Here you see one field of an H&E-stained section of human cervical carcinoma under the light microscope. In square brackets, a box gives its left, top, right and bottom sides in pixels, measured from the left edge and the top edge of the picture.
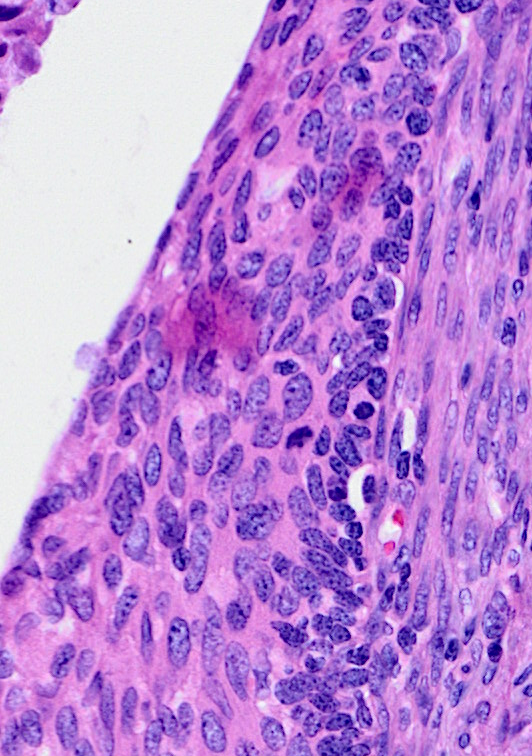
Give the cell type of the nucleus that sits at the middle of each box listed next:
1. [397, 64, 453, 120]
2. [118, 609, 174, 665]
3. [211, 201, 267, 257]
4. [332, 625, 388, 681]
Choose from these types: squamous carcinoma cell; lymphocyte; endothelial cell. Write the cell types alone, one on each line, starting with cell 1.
squamous carcinoma cell
squamous carcinoma cell
squamous carcinoma cell
lymphocyte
